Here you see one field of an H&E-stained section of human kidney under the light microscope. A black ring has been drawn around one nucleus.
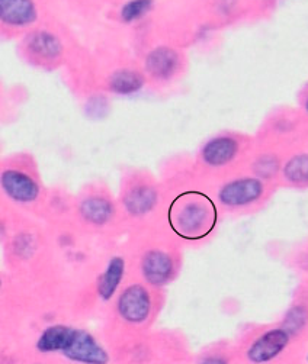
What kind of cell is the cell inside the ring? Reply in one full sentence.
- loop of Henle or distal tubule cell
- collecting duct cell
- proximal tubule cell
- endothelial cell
Recorded by type, the cell inside the ring is a loop of Henle or distal tubule cell.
